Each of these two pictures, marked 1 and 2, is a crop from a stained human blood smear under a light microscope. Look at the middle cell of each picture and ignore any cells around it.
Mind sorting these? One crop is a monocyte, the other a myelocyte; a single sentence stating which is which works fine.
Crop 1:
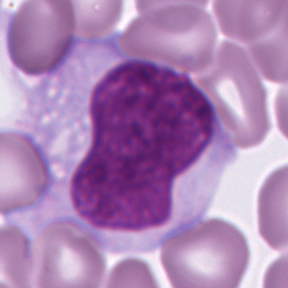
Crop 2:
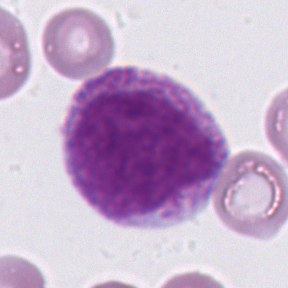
Found in crop 1 is a monocyte; found in crop 2 is a myelocyte.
